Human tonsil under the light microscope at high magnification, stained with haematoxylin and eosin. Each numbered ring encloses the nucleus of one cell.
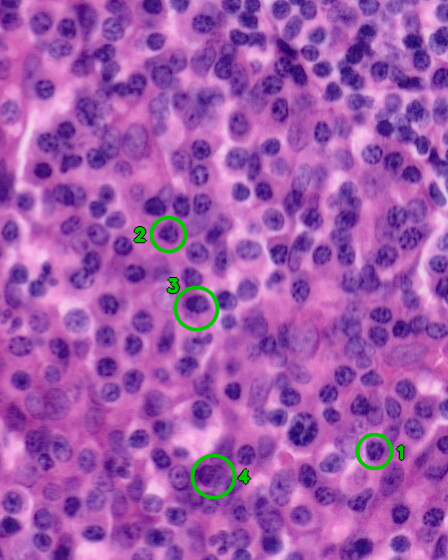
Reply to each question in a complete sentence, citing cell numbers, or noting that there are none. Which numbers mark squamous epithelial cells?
Among the marked cells, cell number 4 alone is a squamous epithelial cell.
